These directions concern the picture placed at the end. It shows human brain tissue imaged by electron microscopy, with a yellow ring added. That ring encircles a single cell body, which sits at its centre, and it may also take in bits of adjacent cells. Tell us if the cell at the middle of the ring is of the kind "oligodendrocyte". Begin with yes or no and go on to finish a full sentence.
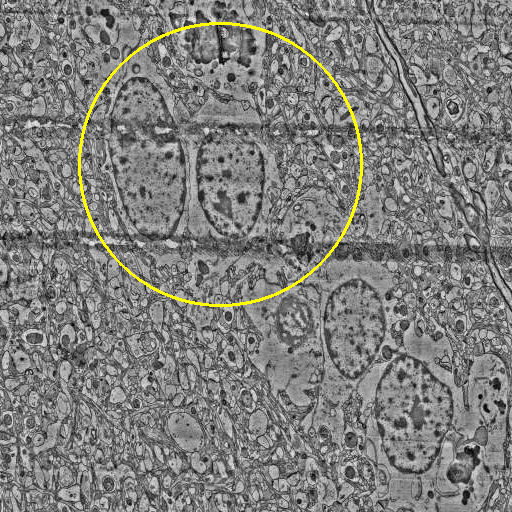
No, the cell sitting at the centre of the yellow ring in the picture belongs to another kind.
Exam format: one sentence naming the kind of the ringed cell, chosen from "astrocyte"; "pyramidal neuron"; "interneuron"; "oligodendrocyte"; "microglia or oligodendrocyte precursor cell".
Instead, the picture shows an astrocyte at the centre of the ring.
